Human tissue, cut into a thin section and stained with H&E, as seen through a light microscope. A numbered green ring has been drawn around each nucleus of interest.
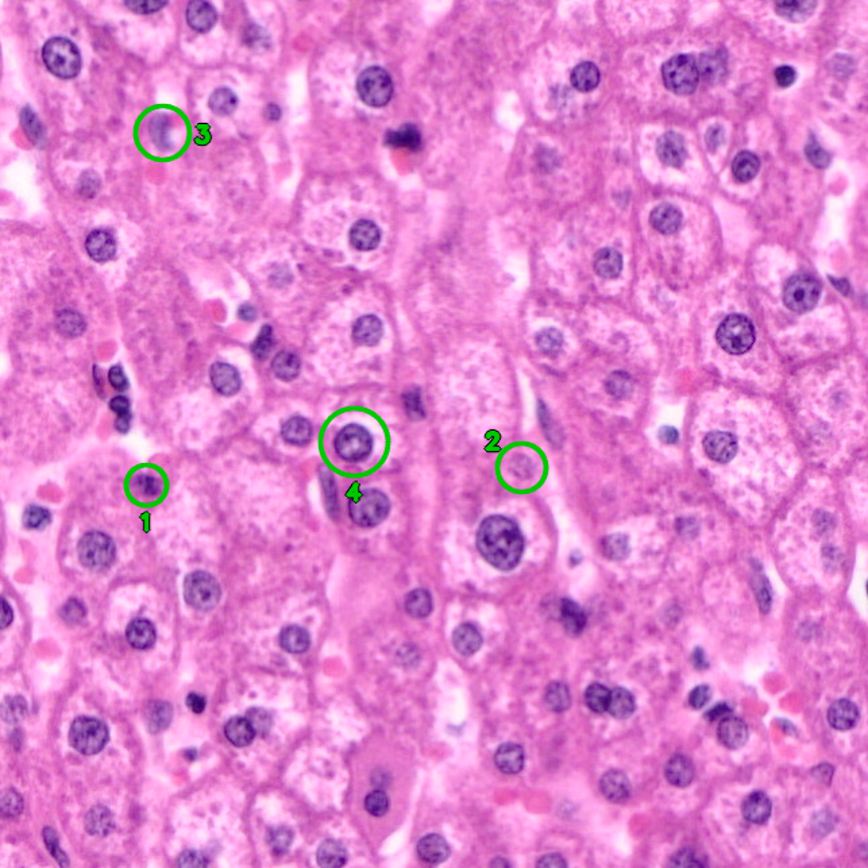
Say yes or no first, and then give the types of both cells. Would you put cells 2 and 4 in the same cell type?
Yes, cells 2 and 4 are both termed hepatocytes.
